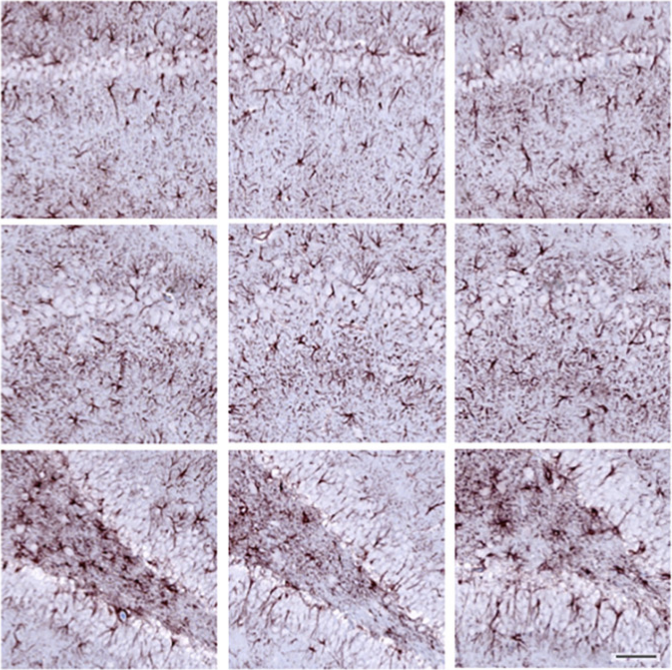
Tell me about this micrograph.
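These are sections of the hippocampus in which astrocytes are stained red-brown. The astrocytes appear as star-shaped cells with many slender processes radiating outward from a small central body. Their processes interweave into a dense fibrous meshwork that fills much of the tissue. Within this meshwork, rounded pale spaces are left where unstained neuronal cell bodies sit, clearest in the packed cell layers. In the lowest row a band of denser staining runs diagonally across the field, bordered by rows of pale rounded cell bodies.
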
